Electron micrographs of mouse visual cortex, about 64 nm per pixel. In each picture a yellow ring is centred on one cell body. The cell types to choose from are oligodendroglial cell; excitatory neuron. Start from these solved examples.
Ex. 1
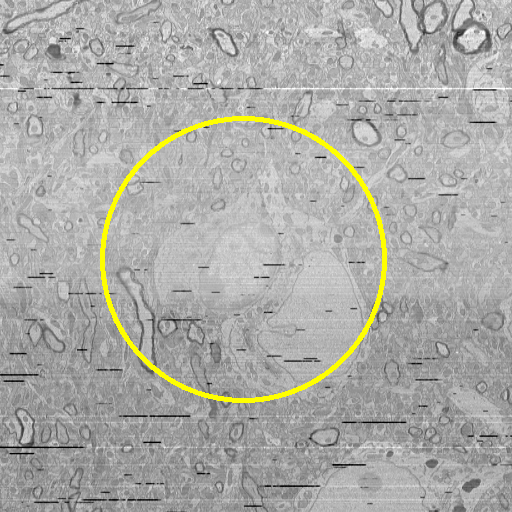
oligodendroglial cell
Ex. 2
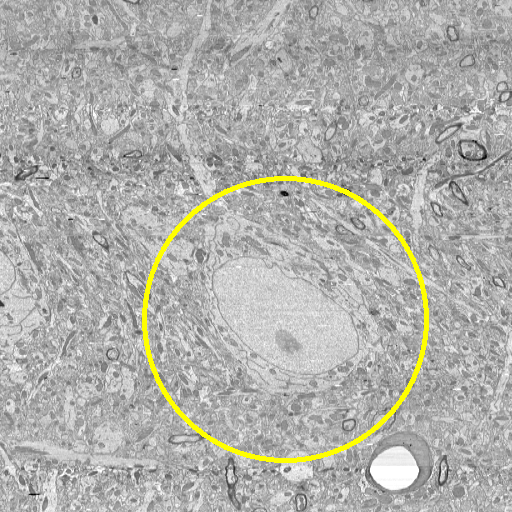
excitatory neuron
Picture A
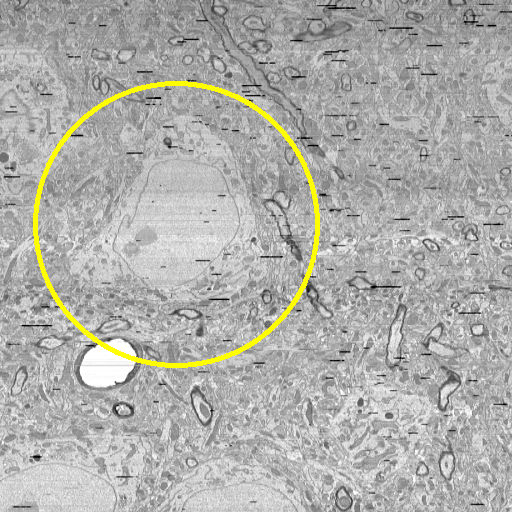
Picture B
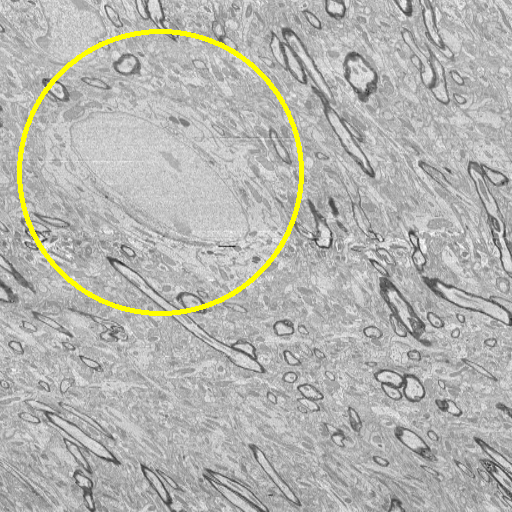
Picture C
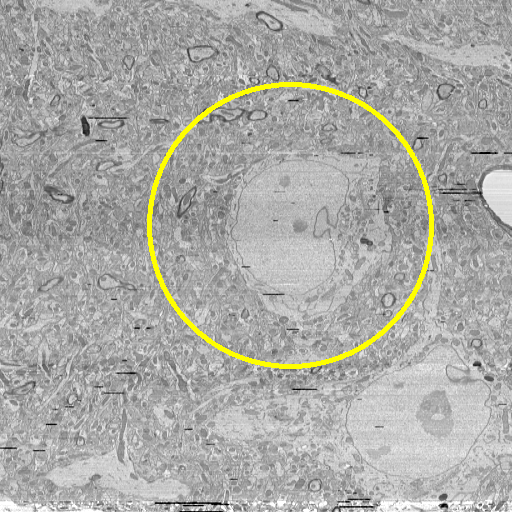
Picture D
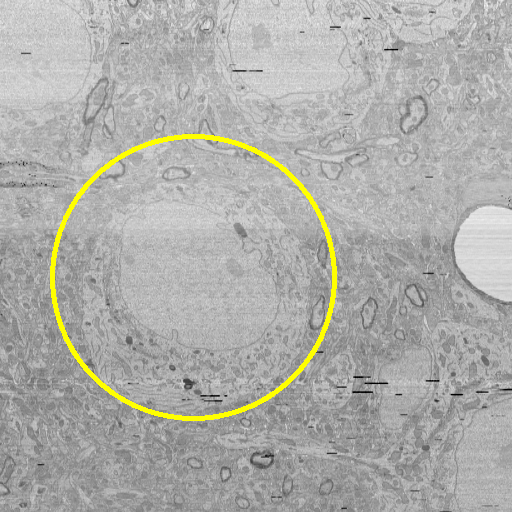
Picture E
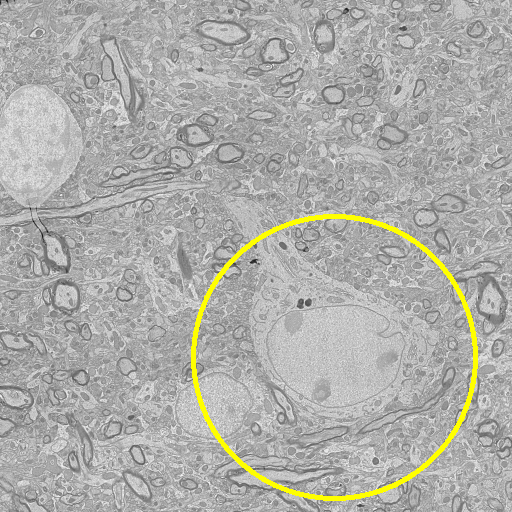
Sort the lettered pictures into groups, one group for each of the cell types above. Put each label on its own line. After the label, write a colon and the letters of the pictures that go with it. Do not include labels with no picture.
excitatory neuron: A, B, C, D, E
